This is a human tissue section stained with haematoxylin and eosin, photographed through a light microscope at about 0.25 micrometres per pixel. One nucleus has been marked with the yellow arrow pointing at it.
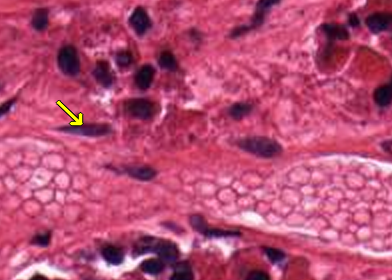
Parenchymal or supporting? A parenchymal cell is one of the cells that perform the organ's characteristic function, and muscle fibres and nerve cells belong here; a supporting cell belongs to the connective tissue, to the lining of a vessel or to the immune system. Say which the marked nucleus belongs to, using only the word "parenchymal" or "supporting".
supporting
